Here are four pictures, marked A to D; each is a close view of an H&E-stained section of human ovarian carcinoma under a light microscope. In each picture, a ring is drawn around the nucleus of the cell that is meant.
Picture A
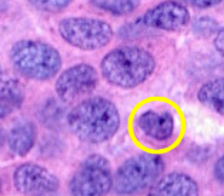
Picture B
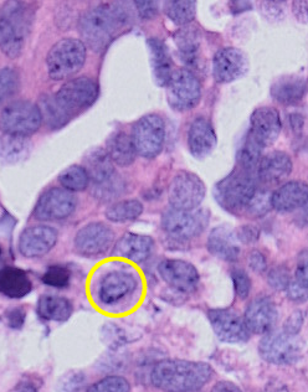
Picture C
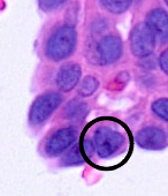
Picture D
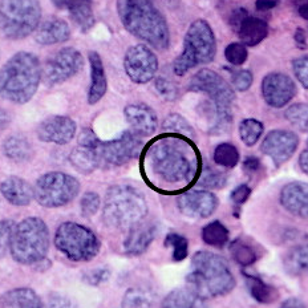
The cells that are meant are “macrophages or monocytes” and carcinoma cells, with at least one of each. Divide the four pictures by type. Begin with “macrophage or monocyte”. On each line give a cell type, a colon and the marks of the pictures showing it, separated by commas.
macrophage or monocyte: A, B
carcinoma cell: C, D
